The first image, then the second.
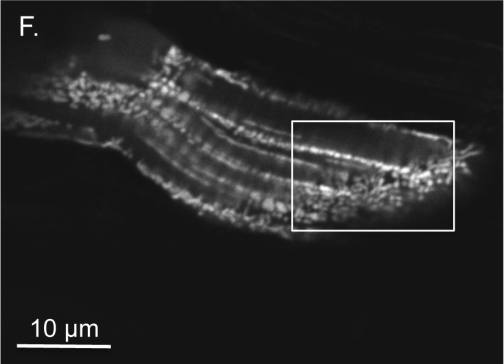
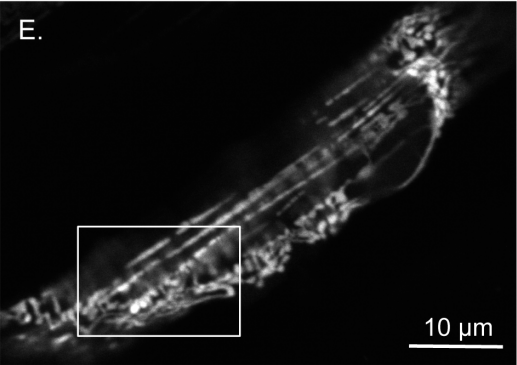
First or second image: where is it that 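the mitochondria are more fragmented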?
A: The first image.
